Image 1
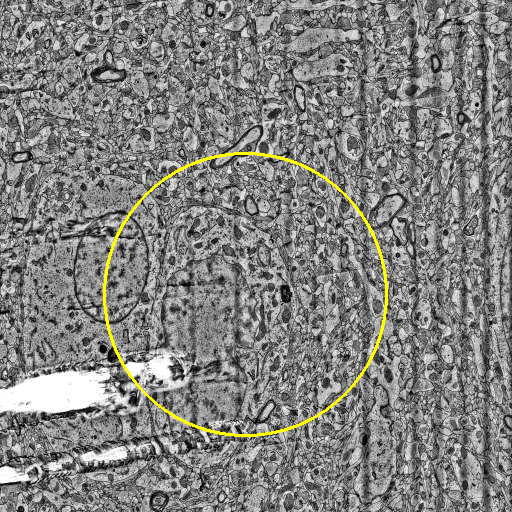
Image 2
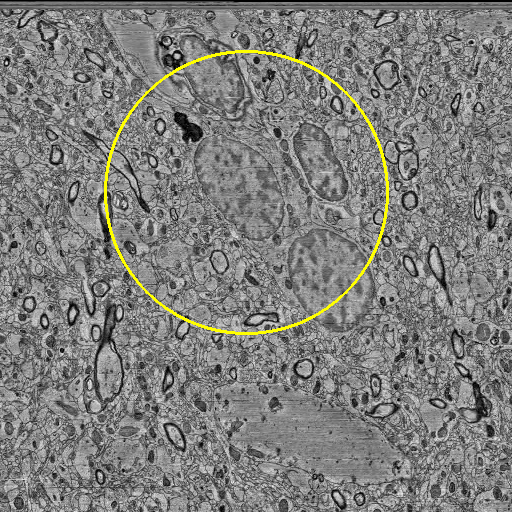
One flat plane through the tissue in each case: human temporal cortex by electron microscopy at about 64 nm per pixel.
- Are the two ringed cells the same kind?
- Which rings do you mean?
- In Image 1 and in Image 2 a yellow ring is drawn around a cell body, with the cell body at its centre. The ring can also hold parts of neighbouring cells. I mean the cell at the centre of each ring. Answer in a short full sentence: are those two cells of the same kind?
No, the cells are of two kinds.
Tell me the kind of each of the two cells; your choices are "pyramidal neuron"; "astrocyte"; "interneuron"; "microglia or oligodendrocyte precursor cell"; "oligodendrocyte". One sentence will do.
The ringed cell is an interneuron in the first picture and an oligodendrocyte in the second picture.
